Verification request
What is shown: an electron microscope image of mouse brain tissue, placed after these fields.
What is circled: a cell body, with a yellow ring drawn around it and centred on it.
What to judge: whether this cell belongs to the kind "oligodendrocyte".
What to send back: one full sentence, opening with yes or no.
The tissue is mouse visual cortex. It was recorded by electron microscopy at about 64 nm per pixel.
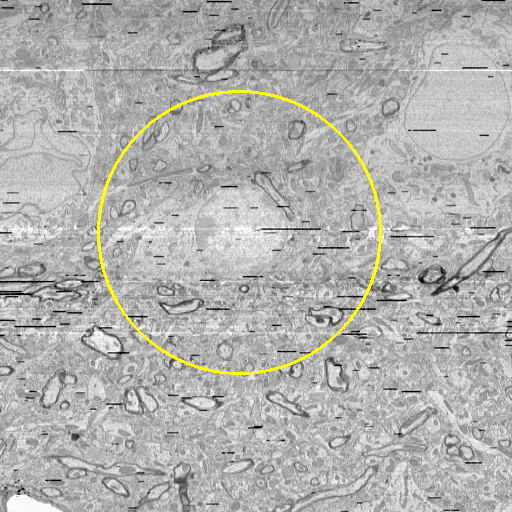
Yes, the cell on which the yellow ring is centred in the picture is of that kind.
